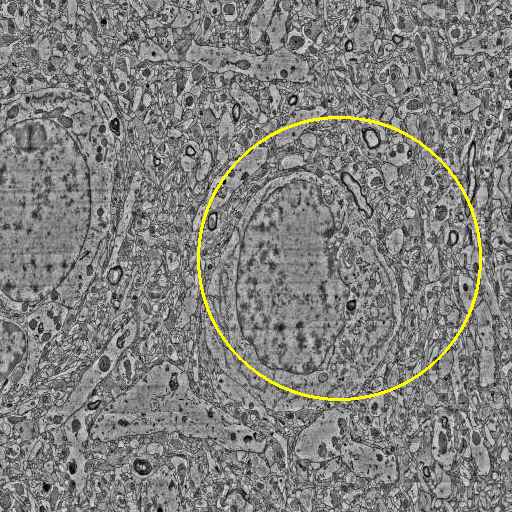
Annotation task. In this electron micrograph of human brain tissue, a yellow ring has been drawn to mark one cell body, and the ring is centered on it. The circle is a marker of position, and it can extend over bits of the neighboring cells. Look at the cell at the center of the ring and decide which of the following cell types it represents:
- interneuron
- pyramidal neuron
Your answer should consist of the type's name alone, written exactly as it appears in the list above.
interneuron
